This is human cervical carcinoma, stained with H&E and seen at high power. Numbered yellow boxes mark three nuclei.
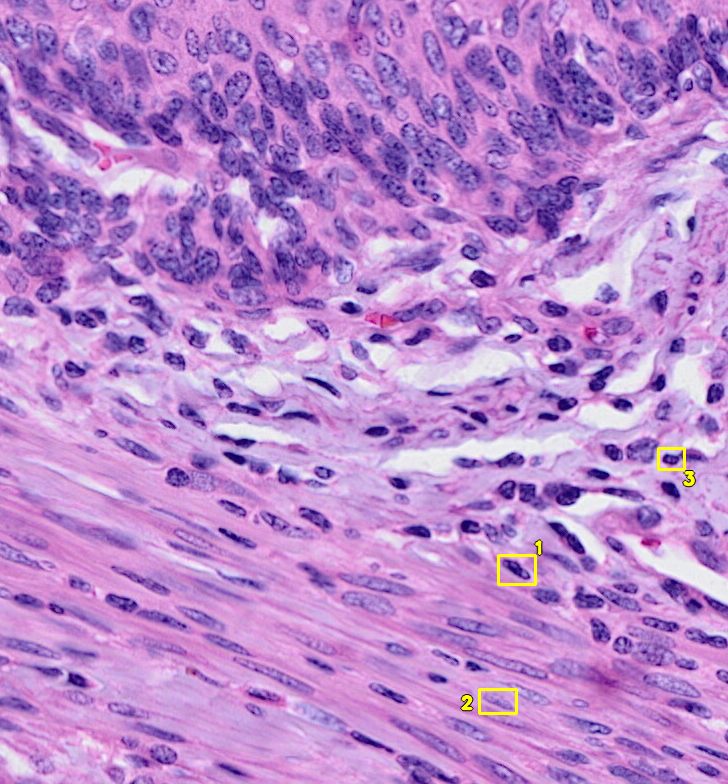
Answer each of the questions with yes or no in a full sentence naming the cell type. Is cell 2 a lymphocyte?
No, cell 2 is not to be taken for a lymphocyte; it is a smooth muscle cell.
